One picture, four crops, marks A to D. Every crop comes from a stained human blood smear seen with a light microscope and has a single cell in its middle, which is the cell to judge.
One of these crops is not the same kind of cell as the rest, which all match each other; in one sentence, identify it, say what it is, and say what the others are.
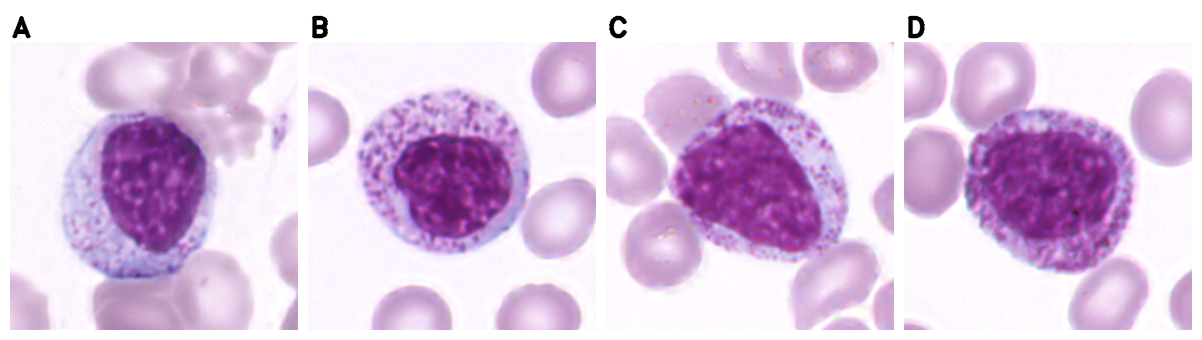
Crop A alone is a metamyelocyte, and the other crops are all myelocytes.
